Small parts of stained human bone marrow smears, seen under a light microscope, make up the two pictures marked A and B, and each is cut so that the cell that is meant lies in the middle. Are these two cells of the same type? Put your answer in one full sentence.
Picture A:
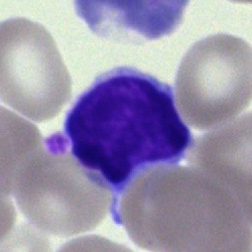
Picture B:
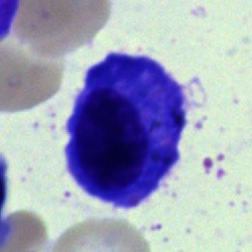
No, they differ: the cell is a lymphocyte in picture A and a plasma cell in picture B.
